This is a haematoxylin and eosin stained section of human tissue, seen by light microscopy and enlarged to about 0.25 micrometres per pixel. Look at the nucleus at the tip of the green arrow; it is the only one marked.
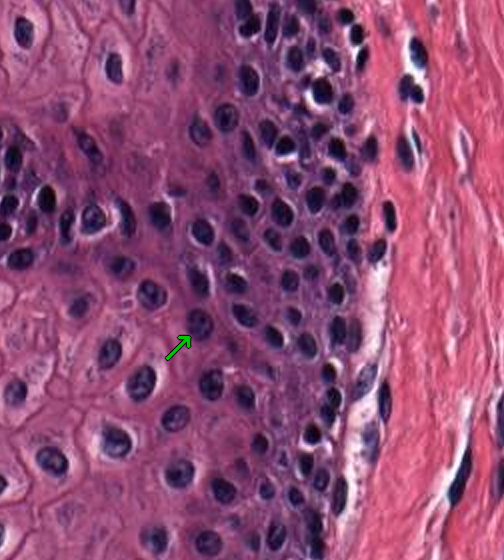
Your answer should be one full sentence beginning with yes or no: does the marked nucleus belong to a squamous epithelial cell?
Yes, the marked nucleus is present within a squamous epithelial cell.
